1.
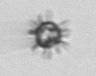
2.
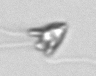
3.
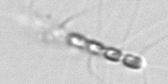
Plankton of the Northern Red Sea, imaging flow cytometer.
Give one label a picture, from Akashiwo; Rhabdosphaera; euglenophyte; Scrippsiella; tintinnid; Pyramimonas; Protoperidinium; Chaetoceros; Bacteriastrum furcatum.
(1) Rhabdosphaera
(2) Pyramimonas
(3) Chaetoceros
